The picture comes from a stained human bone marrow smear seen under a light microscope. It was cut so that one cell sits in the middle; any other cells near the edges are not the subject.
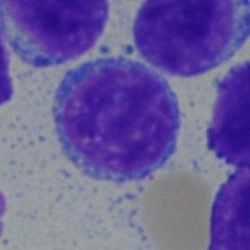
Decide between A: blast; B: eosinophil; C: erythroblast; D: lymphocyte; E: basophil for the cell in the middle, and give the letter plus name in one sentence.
The cell occupying the centre is a lymphocyte; option D is thus the correct choice.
